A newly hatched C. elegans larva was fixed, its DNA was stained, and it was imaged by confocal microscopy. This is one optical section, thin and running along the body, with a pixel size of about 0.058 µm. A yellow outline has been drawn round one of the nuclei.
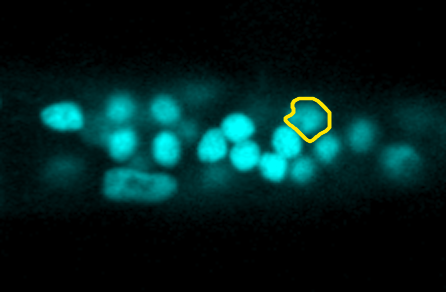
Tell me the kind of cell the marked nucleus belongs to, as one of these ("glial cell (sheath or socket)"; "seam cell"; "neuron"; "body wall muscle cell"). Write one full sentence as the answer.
The marked nucleus is that of a body wall muscle cell.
